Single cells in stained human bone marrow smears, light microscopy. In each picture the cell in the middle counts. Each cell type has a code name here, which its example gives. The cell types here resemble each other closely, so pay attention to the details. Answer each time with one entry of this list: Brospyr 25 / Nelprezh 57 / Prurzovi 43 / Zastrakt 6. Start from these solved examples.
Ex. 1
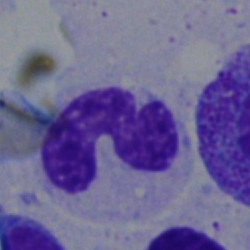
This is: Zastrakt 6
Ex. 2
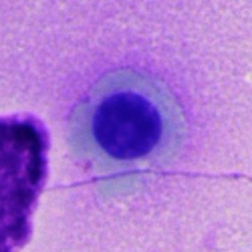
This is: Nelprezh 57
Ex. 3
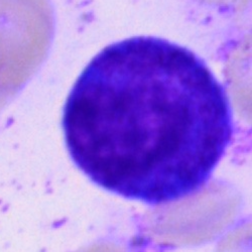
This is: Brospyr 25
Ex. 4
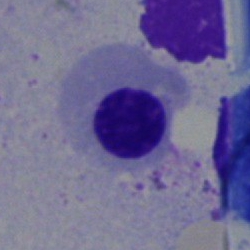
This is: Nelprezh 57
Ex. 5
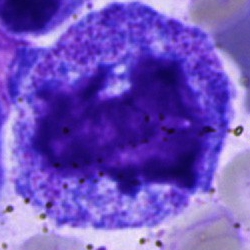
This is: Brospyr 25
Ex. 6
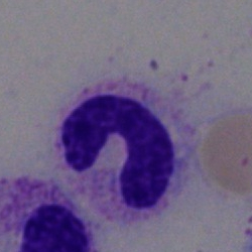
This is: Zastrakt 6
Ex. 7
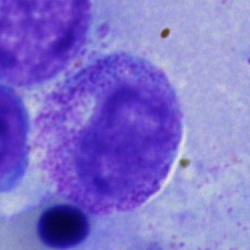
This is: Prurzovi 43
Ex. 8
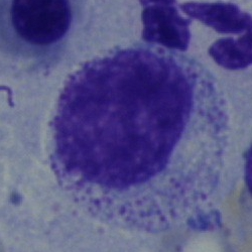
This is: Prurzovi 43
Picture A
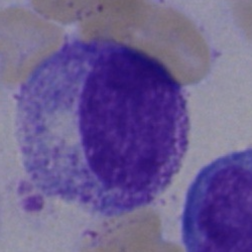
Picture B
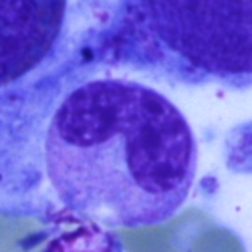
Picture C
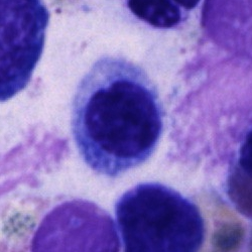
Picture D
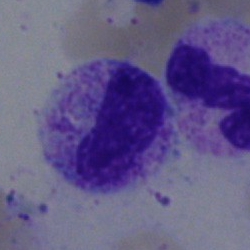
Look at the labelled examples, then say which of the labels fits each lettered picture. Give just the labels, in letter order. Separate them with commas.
Prurzovi 43, Zastrakt 6, Nelprezh 57, Zastrakt 6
